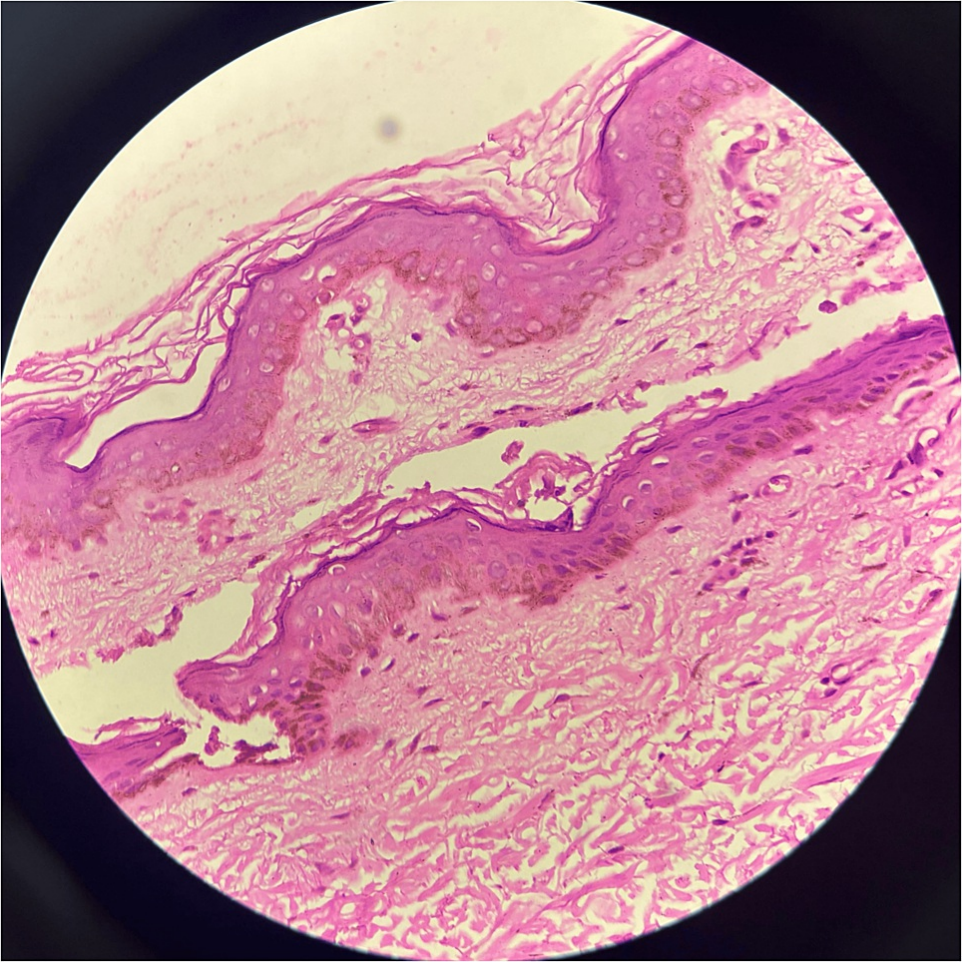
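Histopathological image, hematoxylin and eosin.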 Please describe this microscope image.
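This is skin whose epidermis is a thin, flattened band only a few cell layers thick. The basal cells carry brownish pigment, and loose, layered keratin lies on the surface. Below, the papillary dermis is loose pale-pink collagen with scattered elongated nuclei and a few small vessels, and a cleft splits the section.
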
